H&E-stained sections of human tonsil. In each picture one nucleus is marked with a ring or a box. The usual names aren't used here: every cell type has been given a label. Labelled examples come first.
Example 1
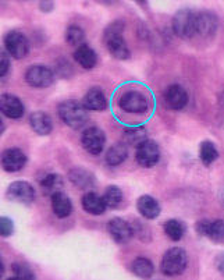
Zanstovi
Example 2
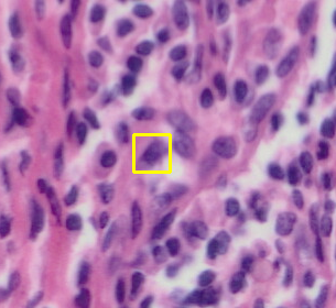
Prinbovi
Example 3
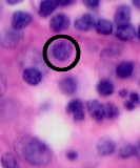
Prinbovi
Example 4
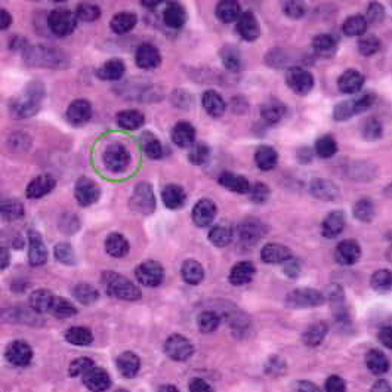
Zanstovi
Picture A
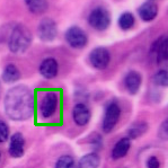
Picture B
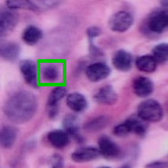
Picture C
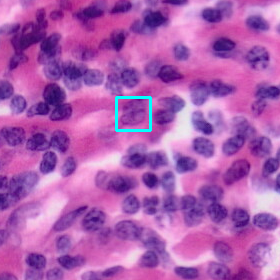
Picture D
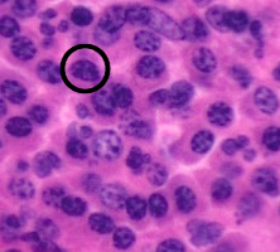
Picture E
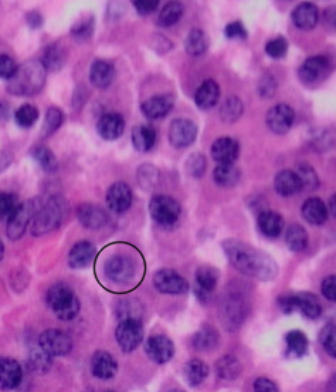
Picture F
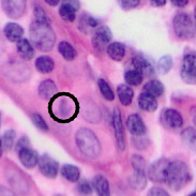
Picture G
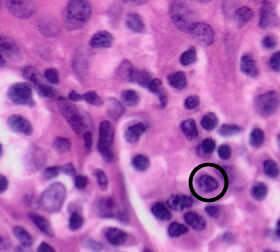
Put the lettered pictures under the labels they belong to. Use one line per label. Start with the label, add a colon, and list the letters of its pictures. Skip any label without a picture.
Zanstovi: A, D, E, G
Prinbovi: B, C, F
